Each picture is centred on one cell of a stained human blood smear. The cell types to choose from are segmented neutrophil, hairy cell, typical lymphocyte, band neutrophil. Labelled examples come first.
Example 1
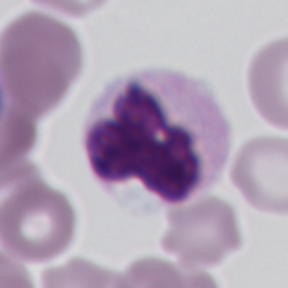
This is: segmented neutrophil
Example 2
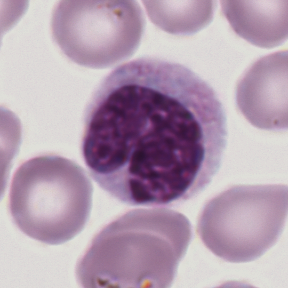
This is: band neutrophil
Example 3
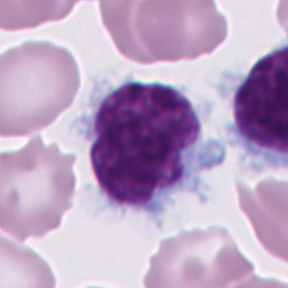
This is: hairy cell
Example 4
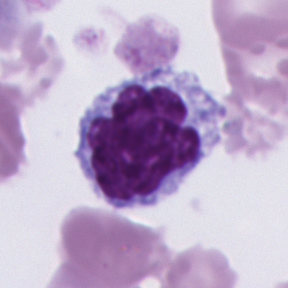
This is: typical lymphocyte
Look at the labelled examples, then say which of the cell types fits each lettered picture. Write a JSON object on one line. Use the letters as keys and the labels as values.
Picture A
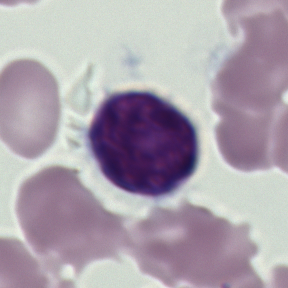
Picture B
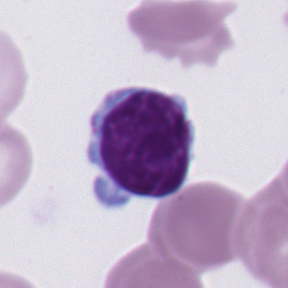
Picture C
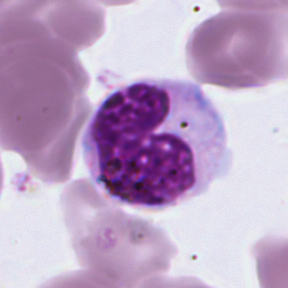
{"A": "hairy cell", "B": "typical lymphocyte", "C": "band neutrophil"}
